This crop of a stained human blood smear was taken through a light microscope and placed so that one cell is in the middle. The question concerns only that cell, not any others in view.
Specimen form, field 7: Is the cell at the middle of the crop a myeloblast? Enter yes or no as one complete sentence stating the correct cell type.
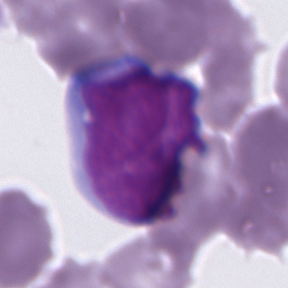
Yes, the middle of the crop is occupied by a myeloblast.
